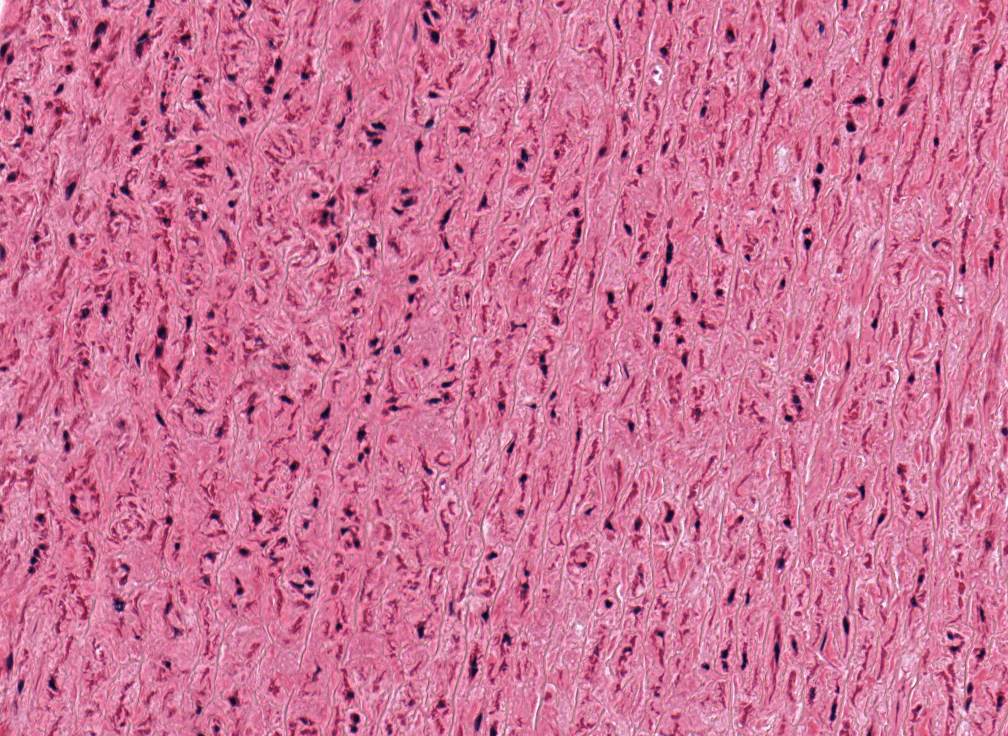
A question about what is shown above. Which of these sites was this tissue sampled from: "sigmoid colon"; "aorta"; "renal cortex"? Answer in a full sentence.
The site this tissue was sampled from is the aorta.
